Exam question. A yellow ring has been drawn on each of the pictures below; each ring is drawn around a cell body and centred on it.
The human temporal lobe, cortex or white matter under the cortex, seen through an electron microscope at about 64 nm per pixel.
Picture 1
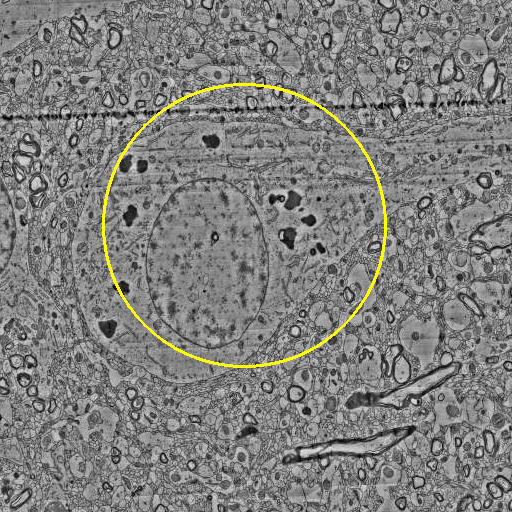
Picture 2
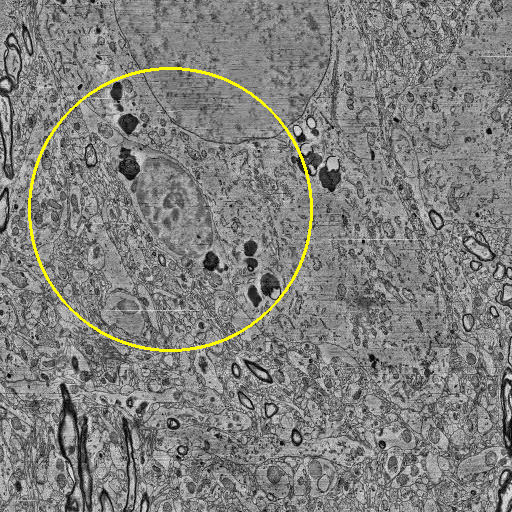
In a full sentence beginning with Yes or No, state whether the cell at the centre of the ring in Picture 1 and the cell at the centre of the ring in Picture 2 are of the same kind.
No, the cells are of two kinds.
